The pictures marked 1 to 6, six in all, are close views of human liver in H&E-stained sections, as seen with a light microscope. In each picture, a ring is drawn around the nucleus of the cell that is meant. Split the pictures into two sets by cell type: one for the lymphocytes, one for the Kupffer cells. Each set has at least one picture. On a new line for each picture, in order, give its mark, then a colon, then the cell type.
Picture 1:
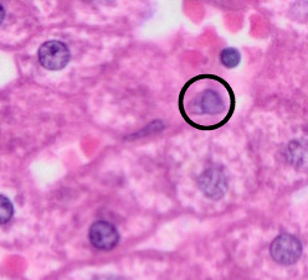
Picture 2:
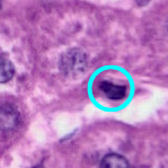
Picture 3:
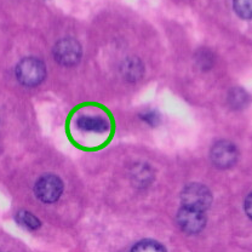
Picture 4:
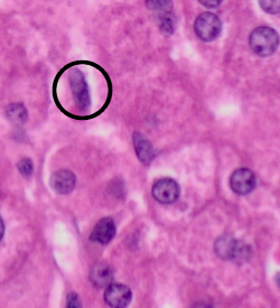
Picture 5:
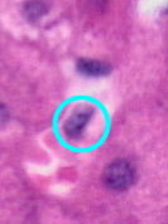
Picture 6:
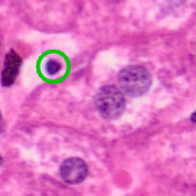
1: Kupffer cell
2: Kupffer cell
3: lymphocyte
4: Kupffer cell
5: Kupffer cell
6: lymphocyte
